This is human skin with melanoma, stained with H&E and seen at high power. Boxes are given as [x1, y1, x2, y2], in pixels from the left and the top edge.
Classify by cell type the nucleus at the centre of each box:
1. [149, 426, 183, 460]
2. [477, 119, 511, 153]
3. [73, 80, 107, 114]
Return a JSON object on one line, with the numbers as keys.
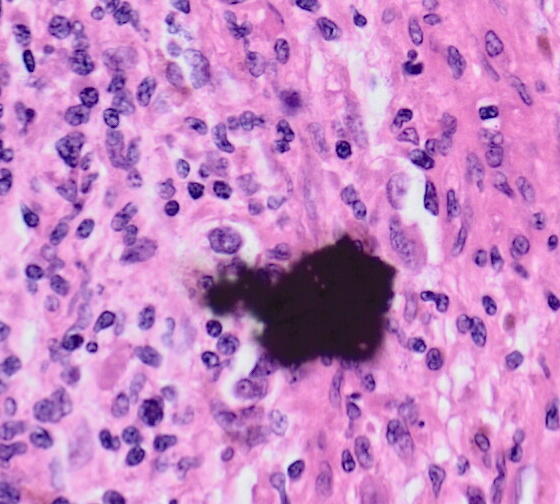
{"1": "lymphocyte", "2": "endothelial cell", "3": "plasma cell"}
